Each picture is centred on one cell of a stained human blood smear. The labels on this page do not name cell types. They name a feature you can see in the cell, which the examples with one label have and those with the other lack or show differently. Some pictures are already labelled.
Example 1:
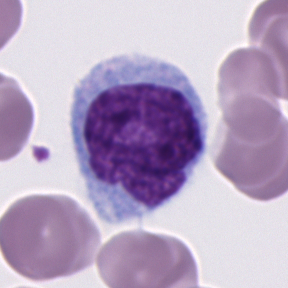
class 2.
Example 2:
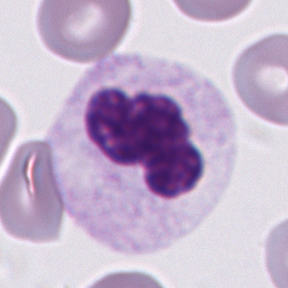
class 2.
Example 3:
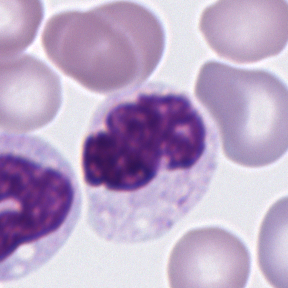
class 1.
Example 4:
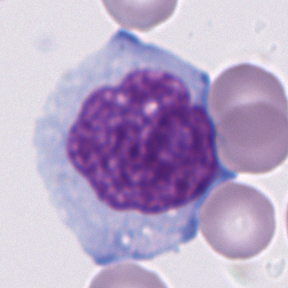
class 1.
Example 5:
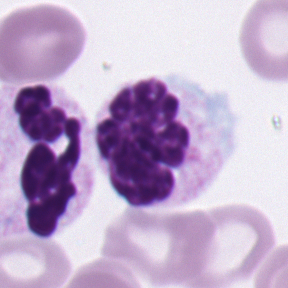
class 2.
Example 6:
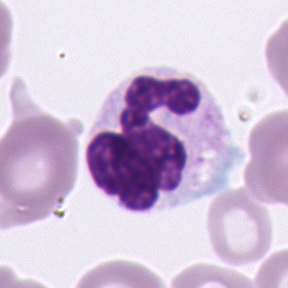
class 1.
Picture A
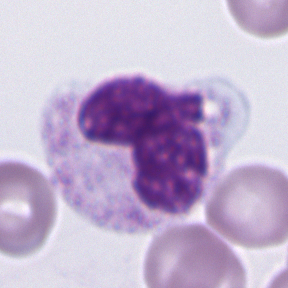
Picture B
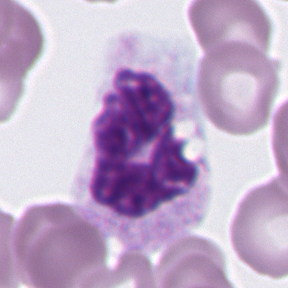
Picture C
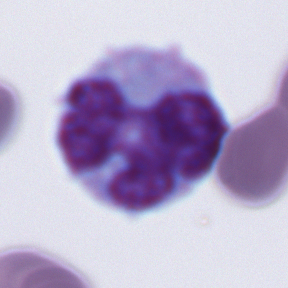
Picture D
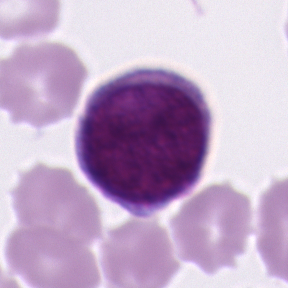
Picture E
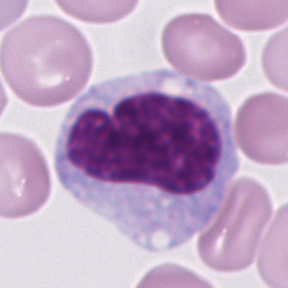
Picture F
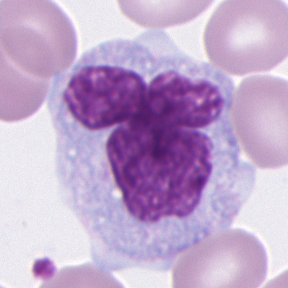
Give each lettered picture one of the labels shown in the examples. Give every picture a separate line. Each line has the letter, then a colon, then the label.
A: class 1.
B: class 1.
C: class 2.
D: class 2.
E: class 1.
F: class 1.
